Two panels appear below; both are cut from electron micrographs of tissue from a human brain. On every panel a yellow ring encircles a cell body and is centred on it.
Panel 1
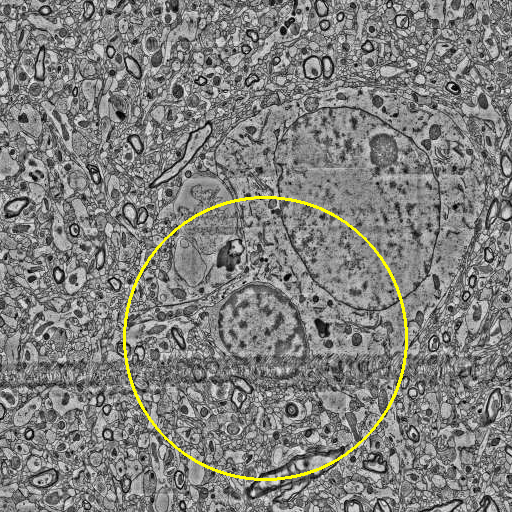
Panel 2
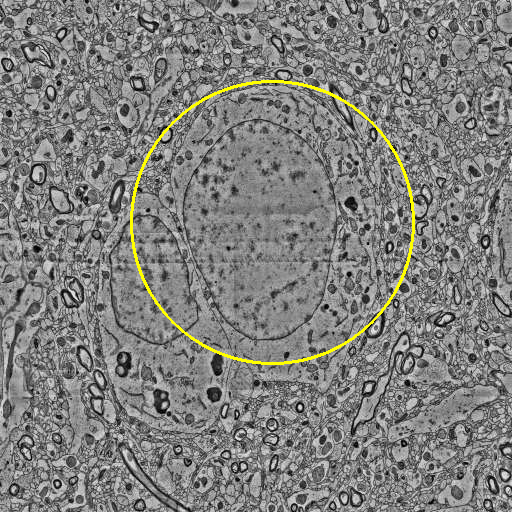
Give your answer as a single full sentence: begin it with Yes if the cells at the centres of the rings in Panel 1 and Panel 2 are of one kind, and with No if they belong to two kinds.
No, the cells in the middle of the rings in Panels 1 and 2 are of two kinds.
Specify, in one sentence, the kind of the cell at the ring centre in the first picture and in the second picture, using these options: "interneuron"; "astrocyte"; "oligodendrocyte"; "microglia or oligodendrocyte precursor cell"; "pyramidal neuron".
So the first is an oligodendrocyte, the second a pyramidal neuron.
